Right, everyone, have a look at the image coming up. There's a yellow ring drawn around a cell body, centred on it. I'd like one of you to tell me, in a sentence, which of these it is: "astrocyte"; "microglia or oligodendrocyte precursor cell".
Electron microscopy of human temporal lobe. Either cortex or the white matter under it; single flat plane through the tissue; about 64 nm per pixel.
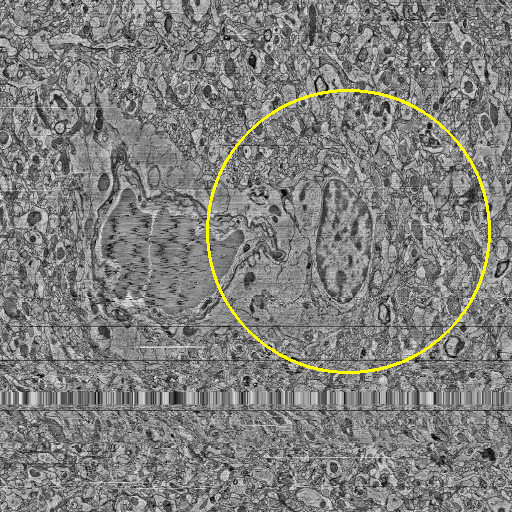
The yellow ring sits on a microglial cell or oligodendrocyte precursor cell.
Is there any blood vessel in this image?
Yes.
